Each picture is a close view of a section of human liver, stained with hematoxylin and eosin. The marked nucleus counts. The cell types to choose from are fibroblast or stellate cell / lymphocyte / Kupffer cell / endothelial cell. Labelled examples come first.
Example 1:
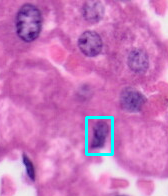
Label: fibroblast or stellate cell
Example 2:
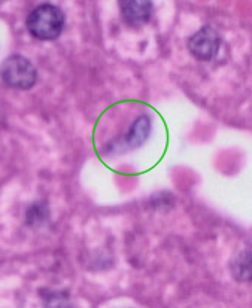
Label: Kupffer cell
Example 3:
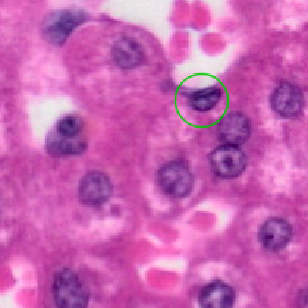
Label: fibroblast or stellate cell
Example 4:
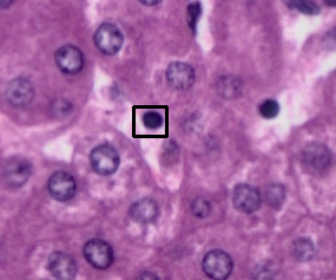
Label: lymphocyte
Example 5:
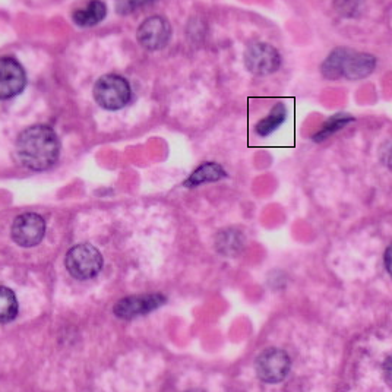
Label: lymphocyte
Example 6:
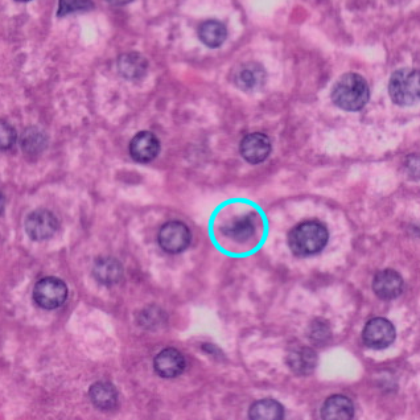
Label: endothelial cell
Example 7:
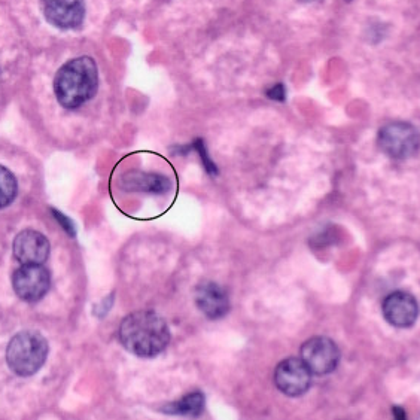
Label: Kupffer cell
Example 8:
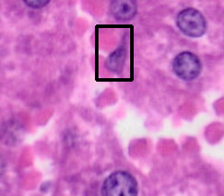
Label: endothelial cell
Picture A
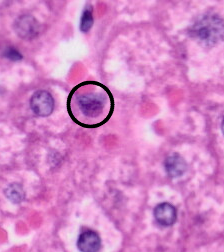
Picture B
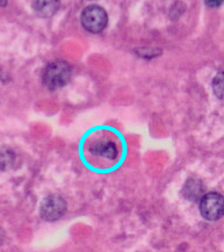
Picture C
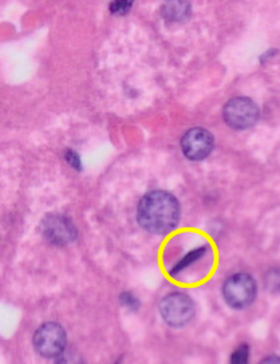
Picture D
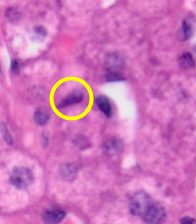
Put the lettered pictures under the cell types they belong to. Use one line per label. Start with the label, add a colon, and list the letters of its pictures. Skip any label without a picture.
fibroblast or stellate cell: D
endothelial cell: A, B, C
